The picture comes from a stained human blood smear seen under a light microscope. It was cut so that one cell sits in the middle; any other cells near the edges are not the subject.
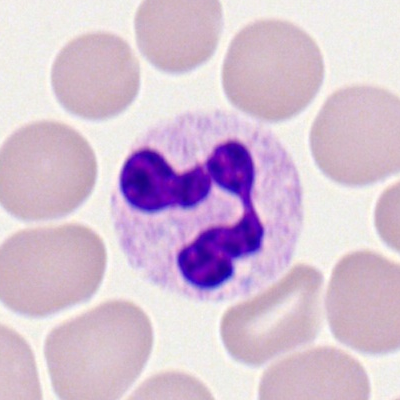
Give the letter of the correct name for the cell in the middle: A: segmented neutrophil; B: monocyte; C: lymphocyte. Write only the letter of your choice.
A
